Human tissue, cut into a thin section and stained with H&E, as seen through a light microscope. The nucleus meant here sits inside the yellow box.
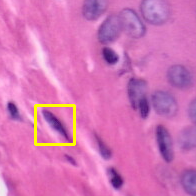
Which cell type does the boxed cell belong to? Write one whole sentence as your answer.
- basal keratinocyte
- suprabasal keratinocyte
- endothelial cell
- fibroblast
This is a fibroblast.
